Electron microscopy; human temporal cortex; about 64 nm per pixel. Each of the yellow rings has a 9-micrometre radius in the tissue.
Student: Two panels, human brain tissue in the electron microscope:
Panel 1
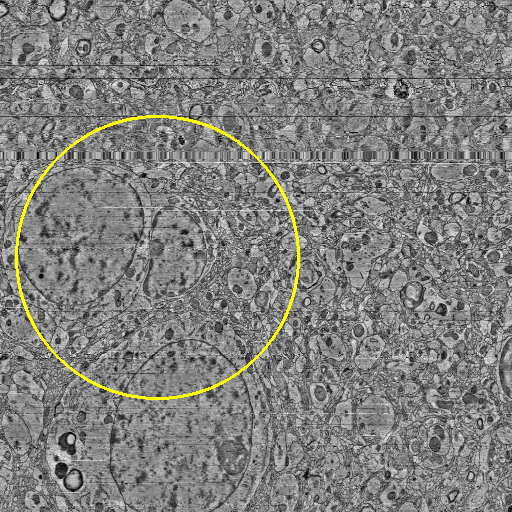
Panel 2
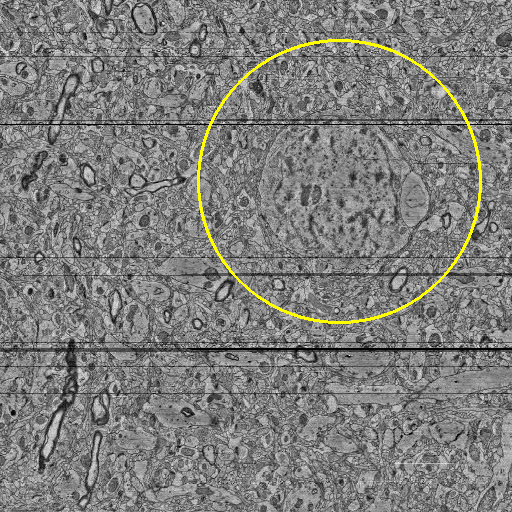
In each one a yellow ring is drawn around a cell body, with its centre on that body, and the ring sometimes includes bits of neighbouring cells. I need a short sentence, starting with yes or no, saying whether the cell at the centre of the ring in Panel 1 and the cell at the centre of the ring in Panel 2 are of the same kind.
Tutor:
No, they are two kinds of cell.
